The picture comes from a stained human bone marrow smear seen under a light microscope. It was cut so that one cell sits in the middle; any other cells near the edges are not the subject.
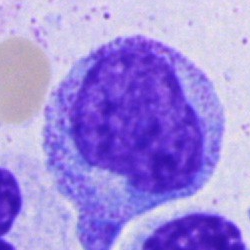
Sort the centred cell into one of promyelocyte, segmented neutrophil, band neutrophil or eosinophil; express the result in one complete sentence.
The cell at the middle of the crop is recognized as a promyelocyte.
